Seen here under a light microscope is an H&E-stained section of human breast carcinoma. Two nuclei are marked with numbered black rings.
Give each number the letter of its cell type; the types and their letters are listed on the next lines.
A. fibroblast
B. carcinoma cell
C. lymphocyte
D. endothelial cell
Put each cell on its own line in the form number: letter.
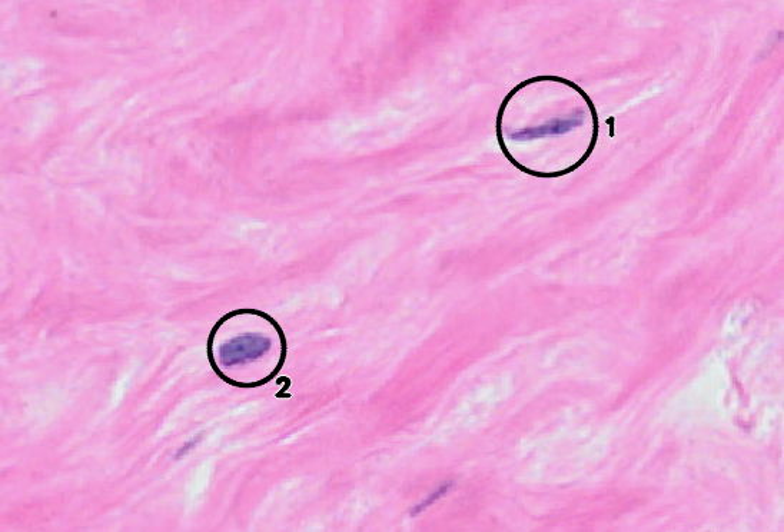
1: A
2: C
